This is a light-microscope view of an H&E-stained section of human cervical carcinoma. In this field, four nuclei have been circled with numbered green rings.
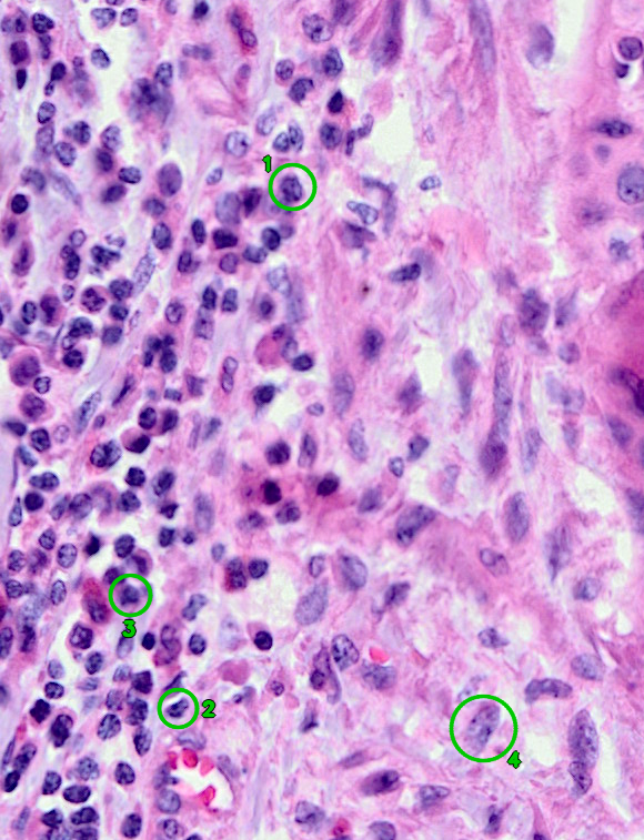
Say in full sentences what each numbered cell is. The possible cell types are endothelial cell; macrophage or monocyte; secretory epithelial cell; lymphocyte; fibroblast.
Cells 1, 2 and 3 are lymphocytes. Cell 4 is a fibroblast.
